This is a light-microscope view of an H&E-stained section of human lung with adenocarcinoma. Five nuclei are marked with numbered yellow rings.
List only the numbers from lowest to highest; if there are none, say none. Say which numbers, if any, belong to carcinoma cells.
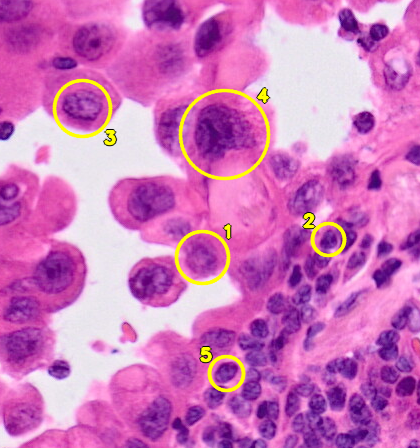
1, 3, 4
